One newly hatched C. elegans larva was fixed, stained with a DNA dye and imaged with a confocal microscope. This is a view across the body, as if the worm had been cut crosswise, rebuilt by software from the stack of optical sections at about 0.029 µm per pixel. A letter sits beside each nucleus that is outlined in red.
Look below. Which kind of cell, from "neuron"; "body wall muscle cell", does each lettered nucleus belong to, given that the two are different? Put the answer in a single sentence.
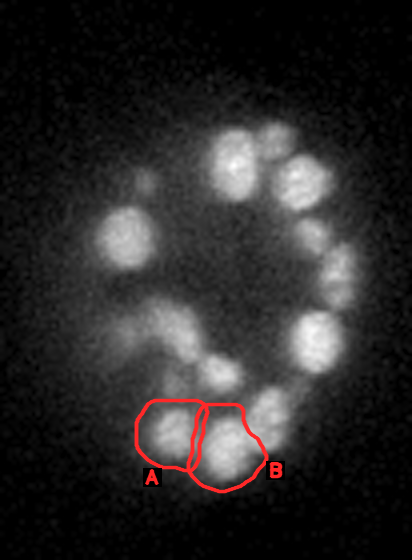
A belongs to a body wall muscle cell and B to a neuron.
